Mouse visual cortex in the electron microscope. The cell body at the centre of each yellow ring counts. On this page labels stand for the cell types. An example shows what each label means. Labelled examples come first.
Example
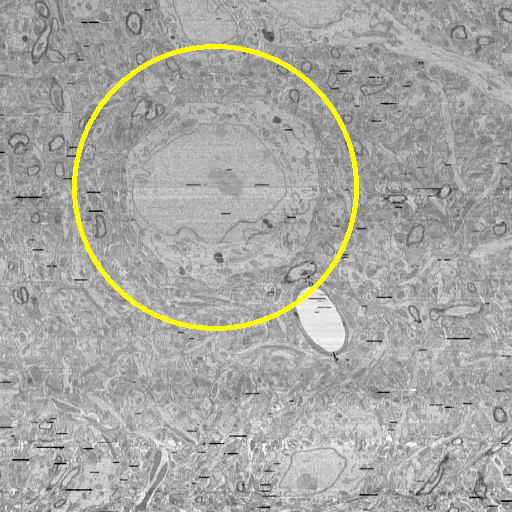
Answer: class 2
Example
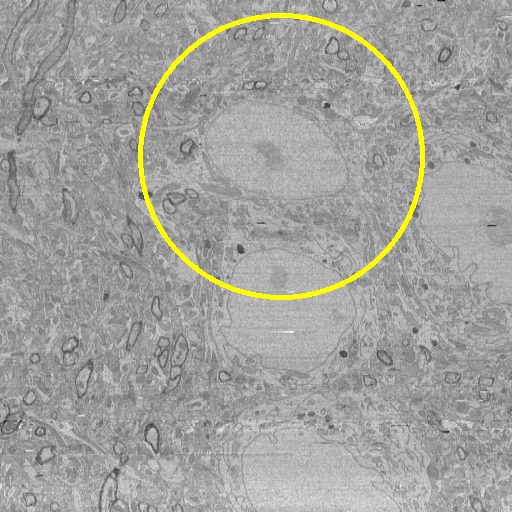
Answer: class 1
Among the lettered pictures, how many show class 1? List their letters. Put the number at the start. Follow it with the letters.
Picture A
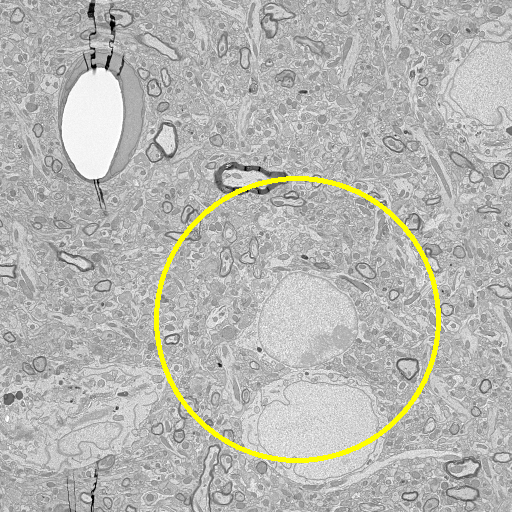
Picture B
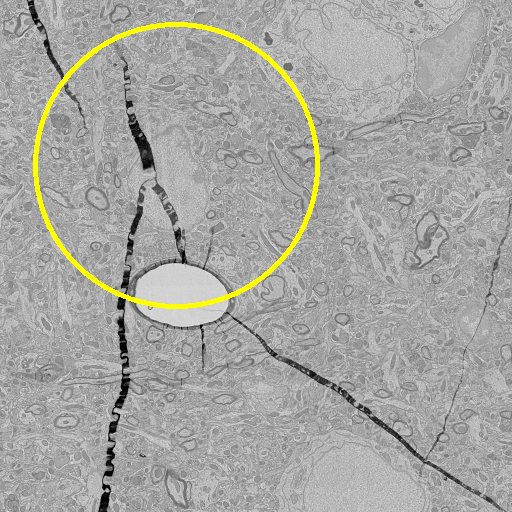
2, namely A, B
